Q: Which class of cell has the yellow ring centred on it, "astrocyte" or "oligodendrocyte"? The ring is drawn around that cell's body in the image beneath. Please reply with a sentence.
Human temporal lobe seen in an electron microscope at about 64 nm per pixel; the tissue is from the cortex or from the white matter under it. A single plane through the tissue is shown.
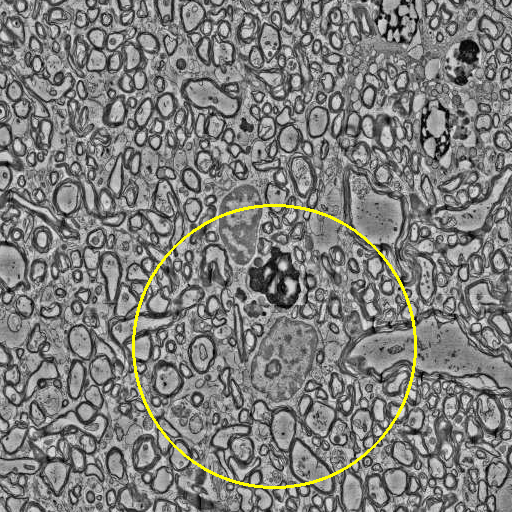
It is centred on an oligodendrocyte.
